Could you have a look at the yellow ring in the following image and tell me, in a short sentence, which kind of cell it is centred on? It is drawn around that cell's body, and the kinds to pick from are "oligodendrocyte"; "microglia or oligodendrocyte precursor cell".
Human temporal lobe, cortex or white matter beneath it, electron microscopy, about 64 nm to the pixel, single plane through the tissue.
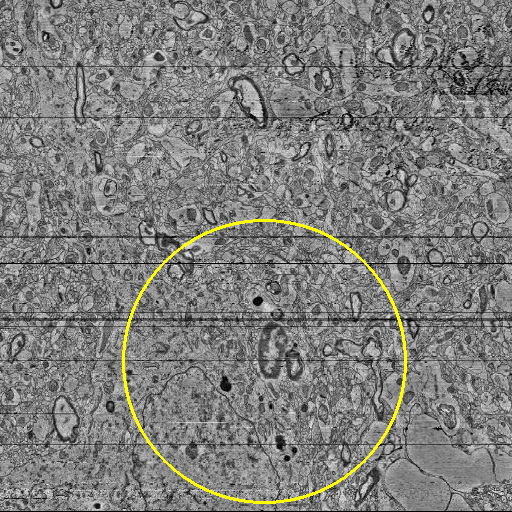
The ring is centred on the body of a microglial cell or oligodendrocyte precursor cell.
